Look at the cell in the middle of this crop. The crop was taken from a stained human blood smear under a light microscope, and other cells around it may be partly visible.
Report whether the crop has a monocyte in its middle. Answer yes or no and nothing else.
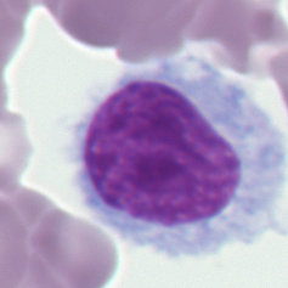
no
